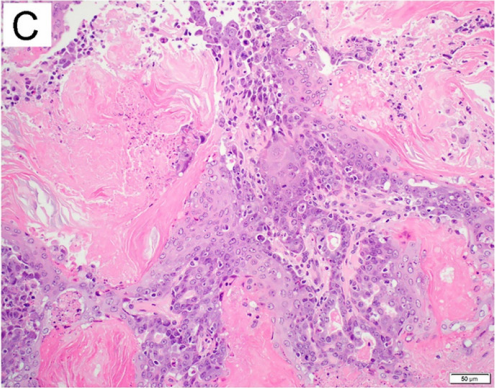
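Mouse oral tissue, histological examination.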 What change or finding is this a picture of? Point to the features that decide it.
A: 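Large masses of glassy pink acellular material lie among the tumor nests. Epithelial cells with pink cytoplasm surround the pink masses.
Hence: Extensive keratinization.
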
